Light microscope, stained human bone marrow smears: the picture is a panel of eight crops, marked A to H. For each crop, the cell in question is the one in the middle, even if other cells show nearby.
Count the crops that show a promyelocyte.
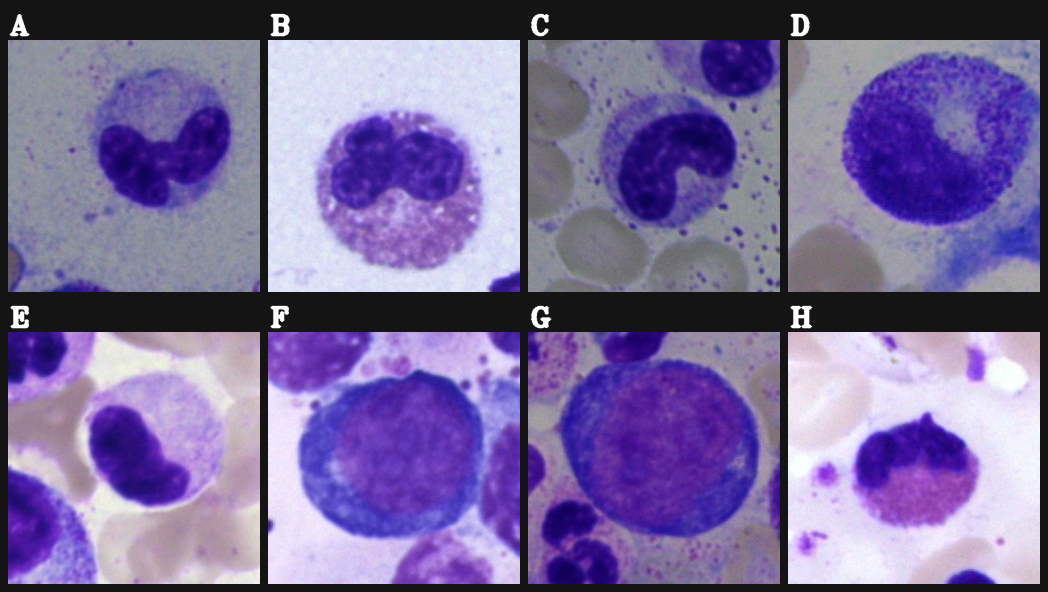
0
